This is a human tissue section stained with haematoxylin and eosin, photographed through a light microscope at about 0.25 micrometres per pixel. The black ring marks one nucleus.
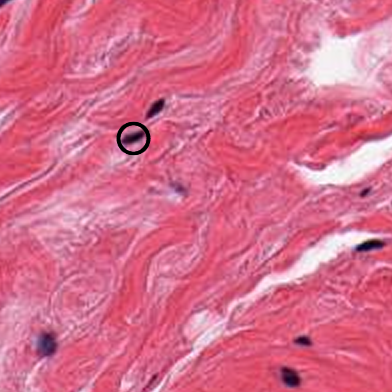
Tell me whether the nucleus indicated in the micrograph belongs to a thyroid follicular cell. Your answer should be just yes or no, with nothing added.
no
